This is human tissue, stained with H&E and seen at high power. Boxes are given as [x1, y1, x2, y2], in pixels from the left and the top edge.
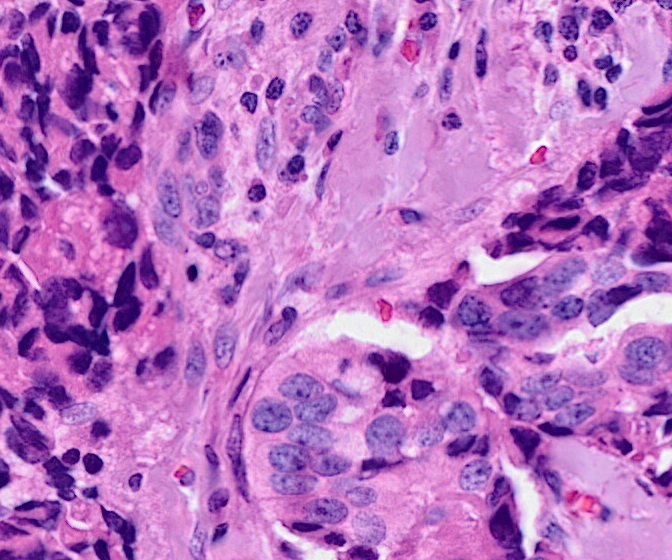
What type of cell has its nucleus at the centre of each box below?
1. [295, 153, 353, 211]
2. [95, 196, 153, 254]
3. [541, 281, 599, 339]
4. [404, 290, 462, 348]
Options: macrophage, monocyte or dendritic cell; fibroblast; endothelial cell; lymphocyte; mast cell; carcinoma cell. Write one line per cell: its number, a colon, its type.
1: fibroblast
2: carcinoma cell
3: carcinoma cell
4: carcinoma cell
